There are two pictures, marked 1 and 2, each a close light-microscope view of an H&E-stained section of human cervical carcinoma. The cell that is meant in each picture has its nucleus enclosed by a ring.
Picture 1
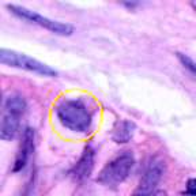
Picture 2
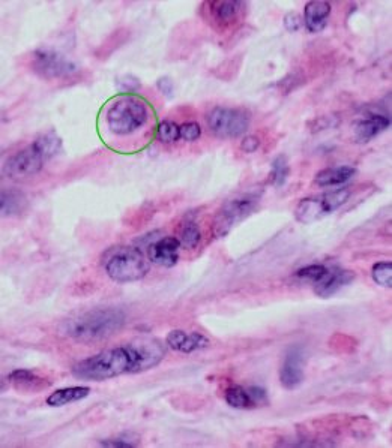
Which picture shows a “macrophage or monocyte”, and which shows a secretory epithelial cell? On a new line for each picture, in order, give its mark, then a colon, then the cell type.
1: secretory epithelial cell
2: macrophage or monocyte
